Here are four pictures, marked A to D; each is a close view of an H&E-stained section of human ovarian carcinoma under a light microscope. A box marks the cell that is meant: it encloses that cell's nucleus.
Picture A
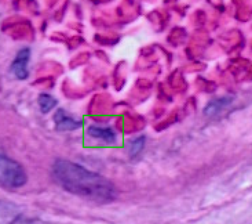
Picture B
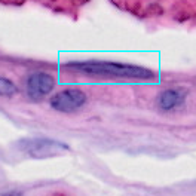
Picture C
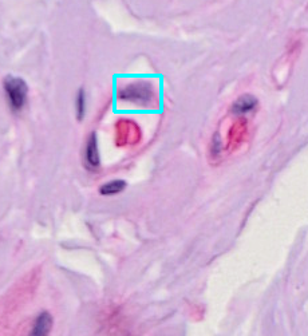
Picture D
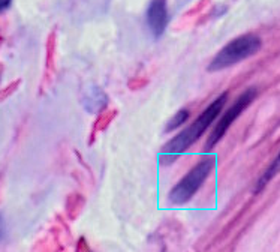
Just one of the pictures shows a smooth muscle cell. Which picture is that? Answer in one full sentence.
It is picture D that shows the smooth muscle cell.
